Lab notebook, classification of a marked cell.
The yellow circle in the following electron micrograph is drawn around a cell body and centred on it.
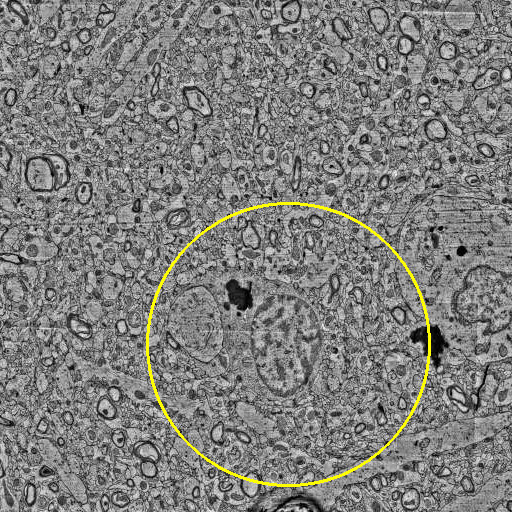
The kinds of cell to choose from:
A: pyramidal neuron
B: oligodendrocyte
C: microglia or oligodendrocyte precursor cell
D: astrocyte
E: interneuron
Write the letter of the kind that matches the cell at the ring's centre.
B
